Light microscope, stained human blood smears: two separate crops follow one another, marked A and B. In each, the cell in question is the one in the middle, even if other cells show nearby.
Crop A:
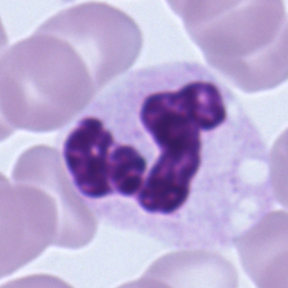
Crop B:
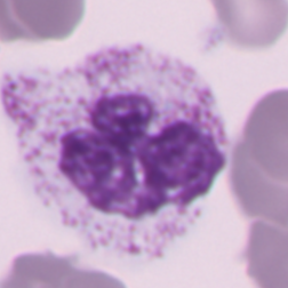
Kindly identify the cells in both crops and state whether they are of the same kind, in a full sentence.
Yes, it is neutrophils that occupy the middle of both crops.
